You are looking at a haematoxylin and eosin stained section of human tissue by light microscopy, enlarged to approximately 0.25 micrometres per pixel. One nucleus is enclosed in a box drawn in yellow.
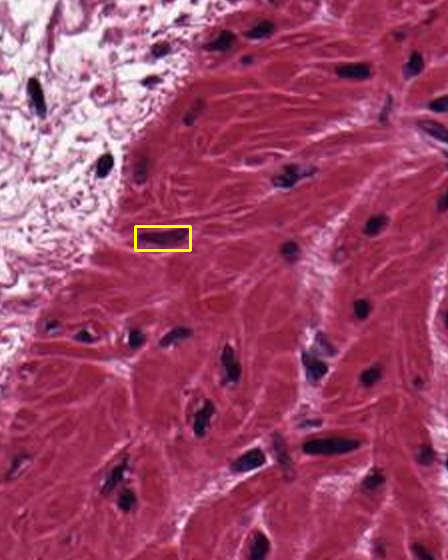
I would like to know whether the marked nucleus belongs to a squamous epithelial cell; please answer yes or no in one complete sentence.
No, the marked nucleus does not sit within a squamous epithelial cell.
